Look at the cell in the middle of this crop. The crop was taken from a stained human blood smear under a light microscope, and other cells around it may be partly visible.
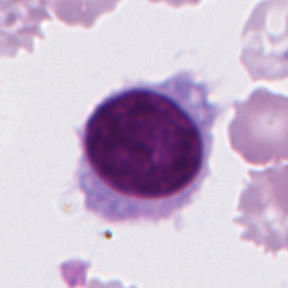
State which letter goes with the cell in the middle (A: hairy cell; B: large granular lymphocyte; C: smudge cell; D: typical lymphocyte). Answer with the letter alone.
A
